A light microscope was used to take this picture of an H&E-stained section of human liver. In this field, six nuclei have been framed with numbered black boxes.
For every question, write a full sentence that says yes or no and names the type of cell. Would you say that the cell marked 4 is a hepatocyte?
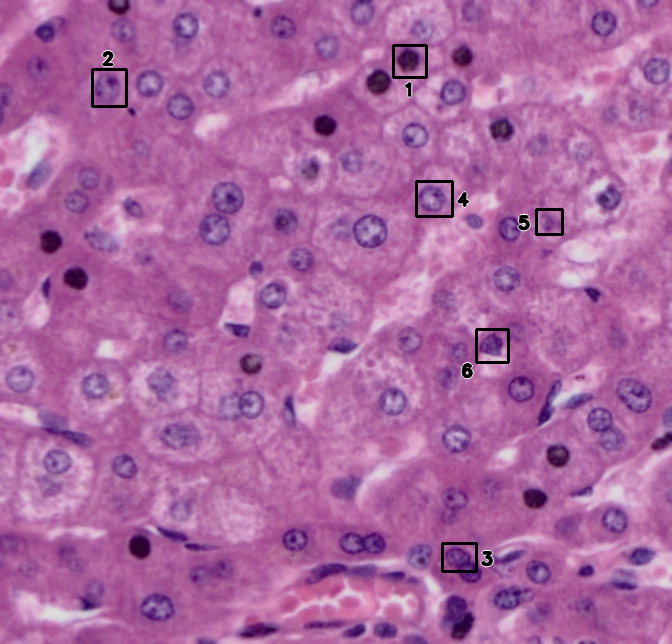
Yes, the cell that the number 4 labels is a hepatocyte.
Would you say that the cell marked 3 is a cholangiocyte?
Yes, the numbered cell 3 is a cholangiocyte.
